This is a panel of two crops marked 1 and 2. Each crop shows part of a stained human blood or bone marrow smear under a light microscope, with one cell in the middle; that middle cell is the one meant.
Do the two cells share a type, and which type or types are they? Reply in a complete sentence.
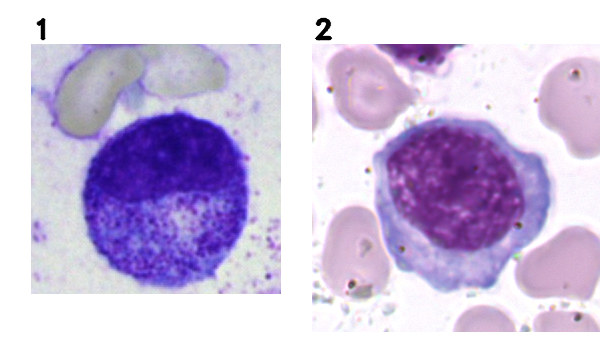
No, crop 1 corresponds to a myelocyte, while crop 2 corresponds to a plasma cell.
